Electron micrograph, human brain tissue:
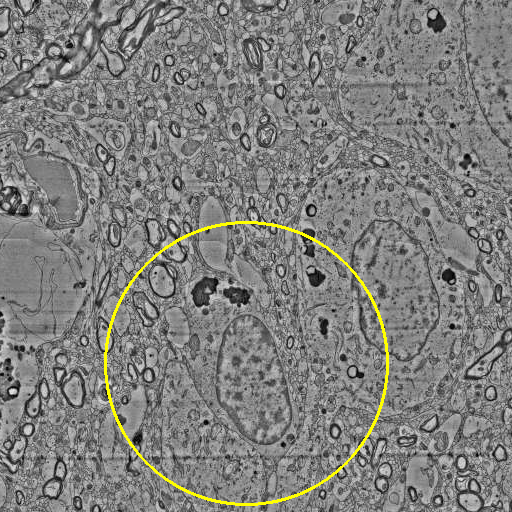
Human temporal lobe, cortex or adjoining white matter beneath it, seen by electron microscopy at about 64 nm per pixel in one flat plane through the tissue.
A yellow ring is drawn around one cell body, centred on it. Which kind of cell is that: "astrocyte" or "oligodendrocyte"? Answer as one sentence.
It is an oligodendrocyte at the centre of the ring.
